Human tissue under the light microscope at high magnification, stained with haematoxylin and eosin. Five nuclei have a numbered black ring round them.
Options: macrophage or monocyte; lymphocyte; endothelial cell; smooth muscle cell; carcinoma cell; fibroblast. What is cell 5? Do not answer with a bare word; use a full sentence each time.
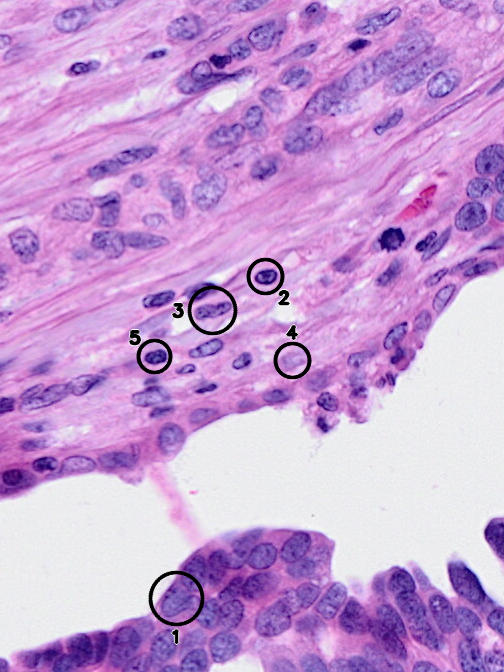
Looking at the numbered marks, cell 5 is a lymphocyte.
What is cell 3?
Marked with the number 3, this cell is a macrophage or monocyte.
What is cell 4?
As for number 4, that cell is a fibroblast.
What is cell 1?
At number 1, the marked cell is a carcinoma cell.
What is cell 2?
Looking at the numbered marks, cell 2 is a lymphocyte.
